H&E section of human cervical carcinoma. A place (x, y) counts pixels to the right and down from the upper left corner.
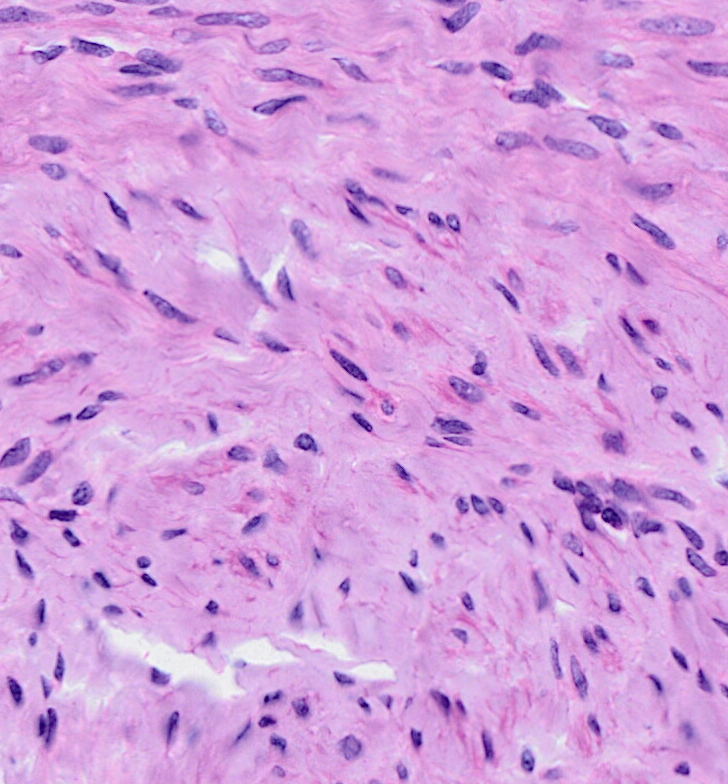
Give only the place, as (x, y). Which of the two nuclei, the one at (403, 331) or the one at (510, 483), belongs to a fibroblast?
(510, 483)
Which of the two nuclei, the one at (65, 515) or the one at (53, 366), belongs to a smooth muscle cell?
(53, 366)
